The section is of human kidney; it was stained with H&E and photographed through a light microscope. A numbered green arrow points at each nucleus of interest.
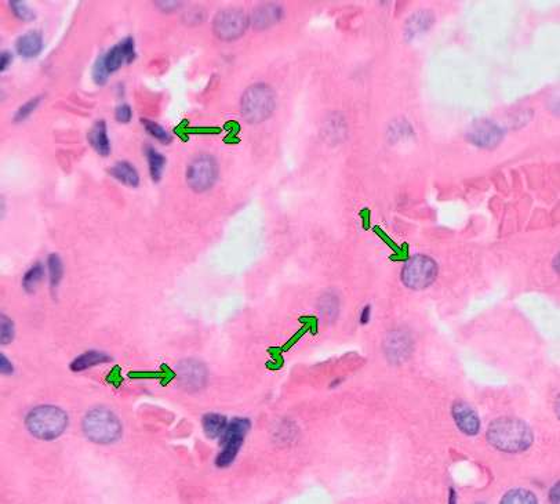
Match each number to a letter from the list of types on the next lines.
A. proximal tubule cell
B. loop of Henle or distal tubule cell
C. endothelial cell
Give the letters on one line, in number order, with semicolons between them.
A; C; A; A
